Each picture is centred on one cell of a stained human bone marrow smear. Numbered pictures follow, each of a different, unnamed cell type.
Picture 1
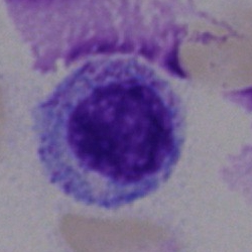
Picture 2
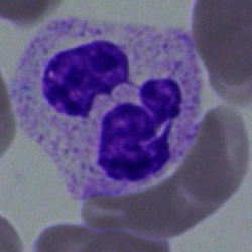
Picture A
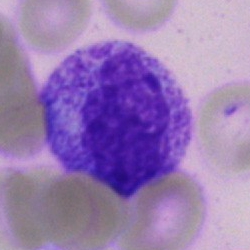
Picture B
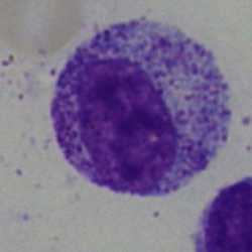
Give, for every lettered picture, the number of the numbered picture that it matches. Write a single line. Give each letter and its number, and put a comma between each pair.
A 1, B 1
